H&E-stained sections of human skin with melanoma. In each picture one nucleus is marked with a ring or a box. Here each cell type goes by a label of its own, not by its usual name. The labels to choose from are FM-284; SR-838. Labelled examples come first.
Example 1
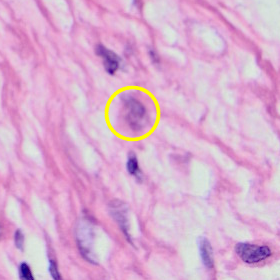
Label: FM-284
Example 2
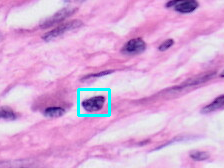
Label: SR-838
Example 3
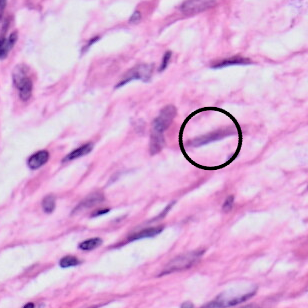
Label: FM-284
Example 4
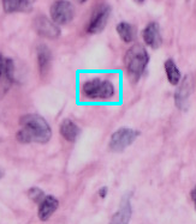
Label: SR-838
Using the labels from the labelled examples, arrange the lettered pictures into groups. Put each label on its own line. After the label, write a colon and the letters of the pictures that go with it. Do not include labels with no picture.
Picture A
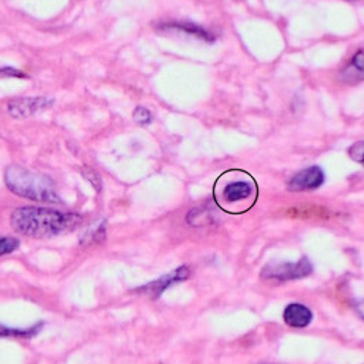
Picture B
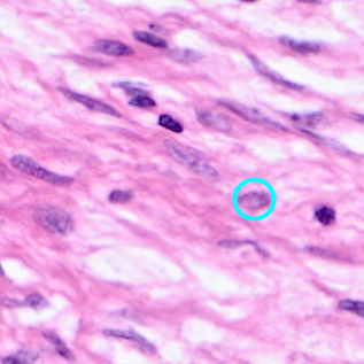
FM-284: B
SR-838: A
